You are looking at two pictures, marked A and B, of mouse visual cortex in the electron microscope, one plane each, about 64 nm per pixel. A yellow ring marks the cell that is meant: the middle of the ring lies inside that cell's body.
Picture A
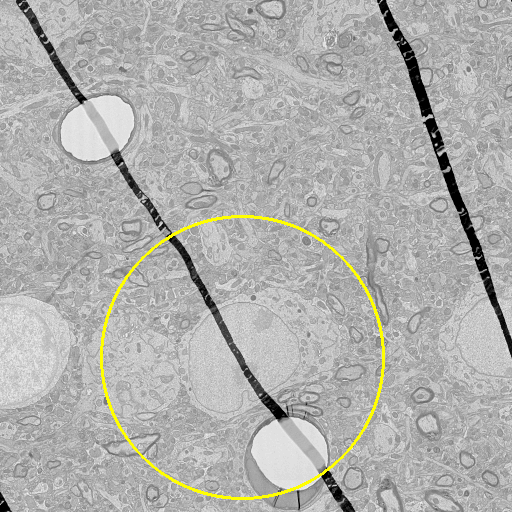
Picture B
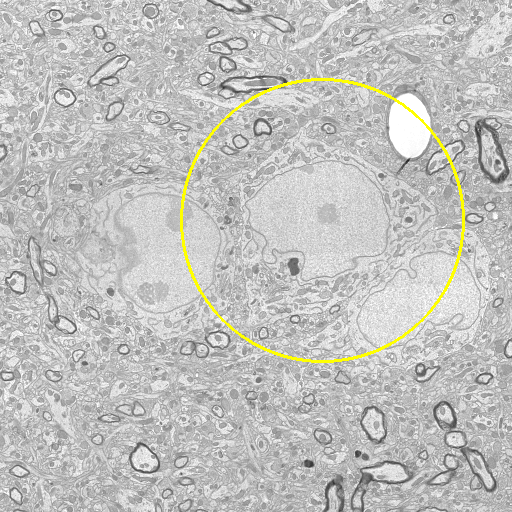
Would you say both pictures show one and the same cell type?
No, picture A shows an excitatory neuron and picture B shows an inhibitory neuron.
